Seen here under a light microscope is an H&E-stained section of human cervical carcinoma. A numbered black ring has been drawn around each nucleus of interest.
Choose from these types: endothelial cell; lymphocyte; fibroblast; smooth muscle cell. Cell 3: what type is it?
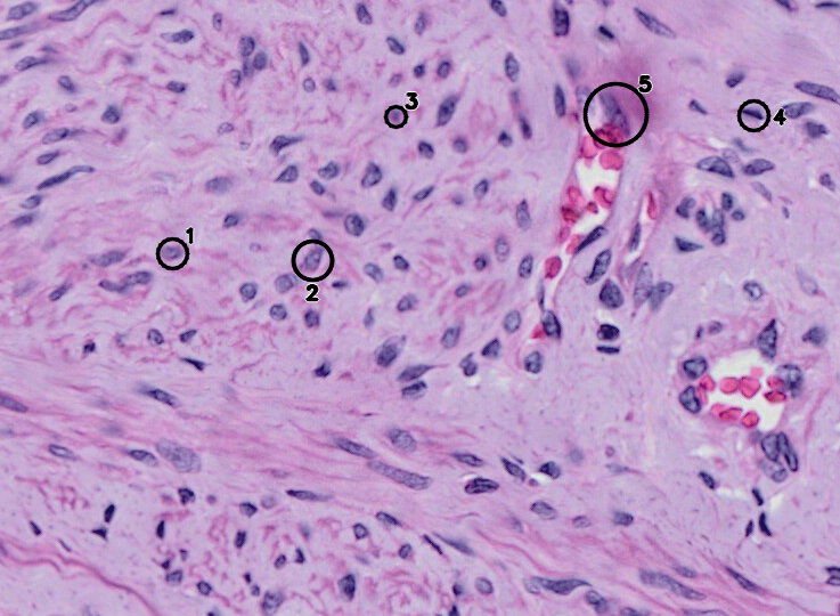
smooth muscle cell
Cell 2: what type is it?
smooth muscle cell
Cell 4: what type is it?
fibroblast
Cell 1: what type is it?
smooth muscle cell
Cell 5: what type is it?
endothelial cell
